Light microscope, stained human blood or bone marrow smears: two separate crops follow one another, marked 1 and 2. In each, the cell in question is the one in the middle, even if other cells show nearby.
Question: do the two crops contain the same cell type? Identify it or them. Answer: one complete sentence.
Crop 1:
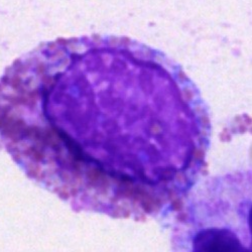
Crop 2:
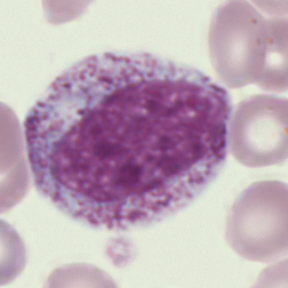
No, the correct reading is an eosinophil in crop 1 and a promyelocyte in crop 2.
